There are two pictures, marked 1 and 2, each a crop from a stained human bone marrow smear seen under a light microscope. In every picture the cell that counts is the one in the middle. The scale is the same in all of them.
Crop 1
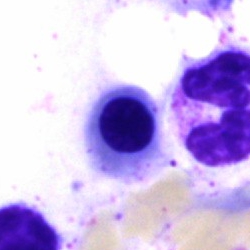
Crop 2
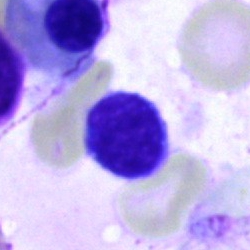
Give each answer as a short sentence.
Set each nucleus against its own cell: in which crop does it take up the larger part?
Of the two, the nucleus in crop 2 makes up the greater part of its cell.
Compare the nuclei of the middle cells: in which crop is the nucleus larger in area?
Larger is the nucleus in crop 2, at roughly 2 times the area of the other.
